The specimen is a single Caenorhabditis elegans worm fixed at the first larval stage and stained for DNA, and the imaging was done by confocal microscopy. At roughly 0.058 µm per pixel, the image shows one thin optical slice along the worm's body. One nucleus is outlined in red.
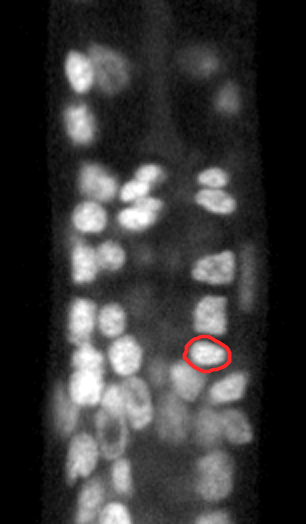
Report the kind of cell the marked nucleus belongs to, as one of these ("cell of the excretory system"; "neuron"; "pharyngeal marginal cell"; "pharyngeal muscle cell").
neuron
